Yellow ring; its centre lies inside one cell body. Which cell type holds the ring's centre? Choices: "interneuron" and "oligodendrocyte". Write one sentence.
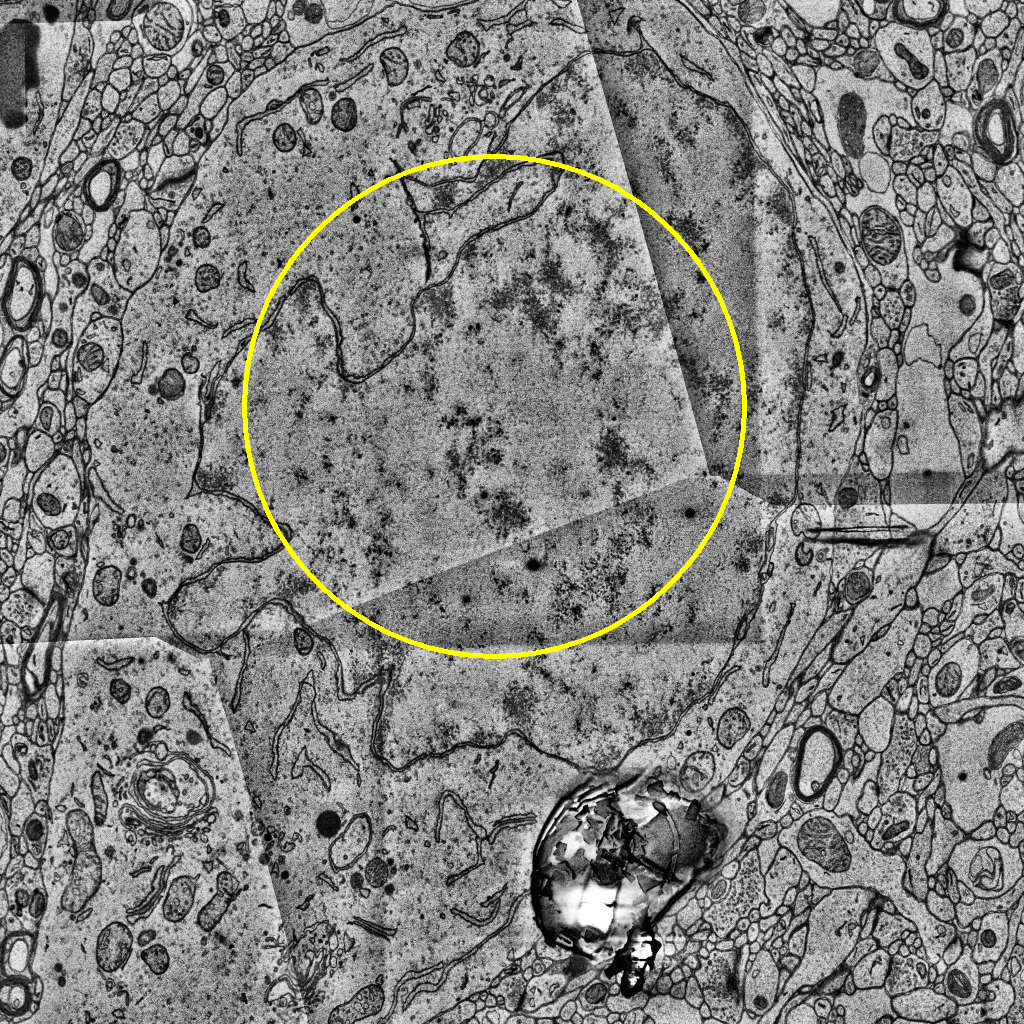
At the centre of the ring sits an interneuron.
